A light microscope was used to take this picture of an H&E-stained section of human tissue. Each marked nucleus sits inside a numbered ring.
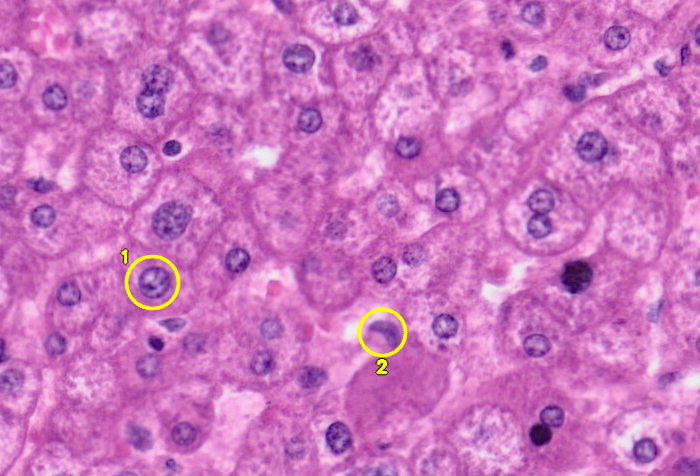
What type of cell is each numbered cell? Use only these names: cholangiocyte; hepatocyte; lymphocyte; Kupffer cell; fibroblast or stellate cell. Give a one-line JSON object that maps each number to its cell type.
{"1": "hepatocyte", "2": "Kupffer cell"}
